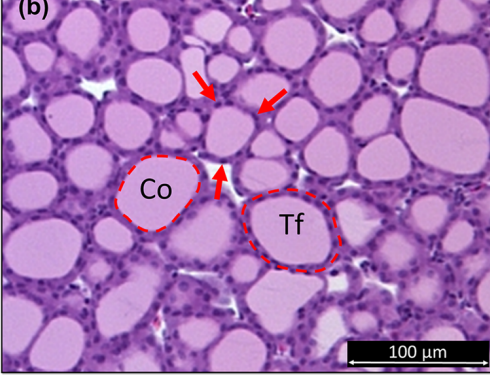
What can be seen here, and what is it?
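Thyroid gland at higher power: closely packed follicles of varied size, round to polygonal, each filled with homogeneous pale pink colloid. Every follicle is lined by a single layer of low cuboidal to flattened epithelial cells with small, round, dark purple nuclei and scant cytoplasm. Between follicles lie narrow strands of sparse connective tissue with a few elongated nuclei and small clear gaps. Colloid fills the lumina almost completely, with only slight retraction at some edges.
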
